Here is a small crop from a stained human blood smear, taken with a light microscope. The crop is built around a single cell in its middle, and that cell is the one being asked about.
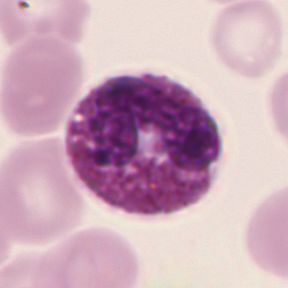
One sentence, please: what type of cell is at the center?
The single cell at the center of the crop is an eosinophil.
